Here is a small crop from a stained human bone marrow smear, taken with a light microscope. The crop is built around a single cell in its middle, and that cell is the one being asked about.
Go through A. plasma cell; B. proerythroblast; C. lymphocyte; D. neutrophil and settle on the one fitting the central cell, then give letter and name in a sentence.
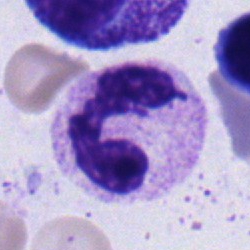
The cell at the heart of the crop is a neutrophil, so choose option D.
